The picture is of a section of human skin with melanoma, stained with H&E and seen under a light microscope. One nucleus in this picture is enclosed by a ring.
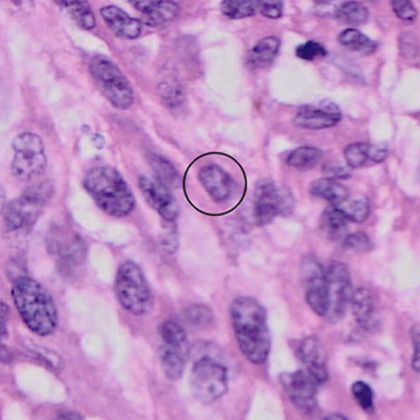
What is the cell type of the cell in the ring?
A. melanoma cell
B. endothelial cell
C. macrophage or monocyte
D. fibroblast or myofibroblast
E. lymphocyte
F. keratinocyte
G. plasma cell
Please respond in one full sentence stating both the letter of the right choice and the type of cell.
Option A properly identifies the cell in the ring as a melanoma cell.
